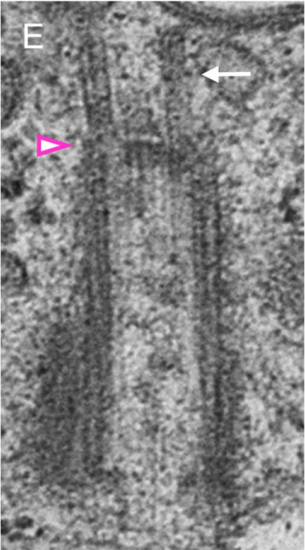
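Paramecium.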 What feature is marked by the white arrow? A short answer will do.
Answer: Microtubule extensions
